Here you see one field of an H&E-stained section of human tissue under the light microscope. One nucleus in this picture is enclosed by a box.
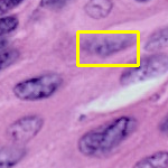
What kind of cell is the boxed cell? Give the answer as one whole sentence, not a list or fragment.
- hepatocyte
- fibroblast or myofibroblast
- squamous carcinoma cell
As to its cell type, the boxed cell is a squamous carcinoma cell.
